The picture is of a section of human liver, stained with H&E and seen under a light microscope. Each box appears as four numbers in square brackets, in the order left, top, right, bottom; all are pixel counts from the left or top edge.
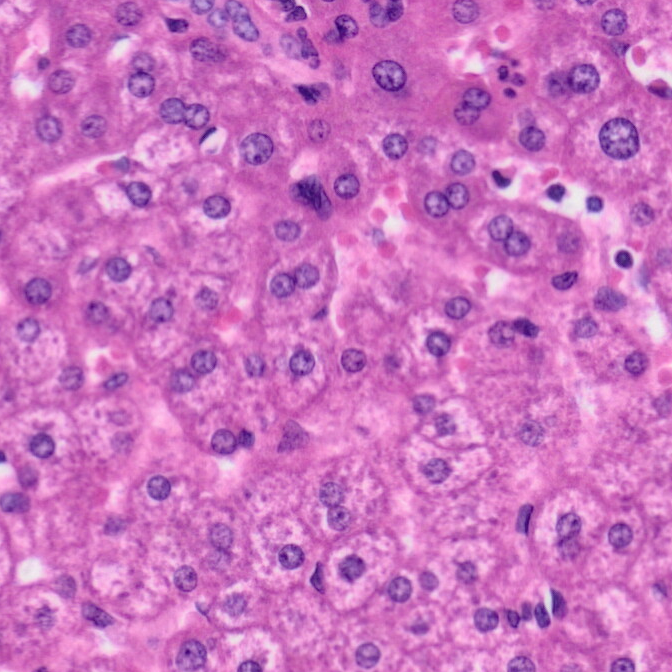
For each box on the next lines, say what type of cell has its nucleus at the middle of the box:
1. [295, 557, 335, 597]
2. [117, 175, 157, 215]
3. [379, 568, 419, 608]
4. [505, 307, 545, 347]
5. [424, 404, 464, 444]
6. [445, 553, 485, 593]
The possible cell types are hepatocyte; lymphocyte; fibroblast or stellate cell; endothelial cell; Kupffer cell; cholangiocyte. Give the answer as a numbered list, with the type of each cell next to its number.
1. endothelial cell
2. hepatocyte
3. hepatocyte
4. fibroblast or stellate cell
5. hepatocyte
6. hepatocyte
